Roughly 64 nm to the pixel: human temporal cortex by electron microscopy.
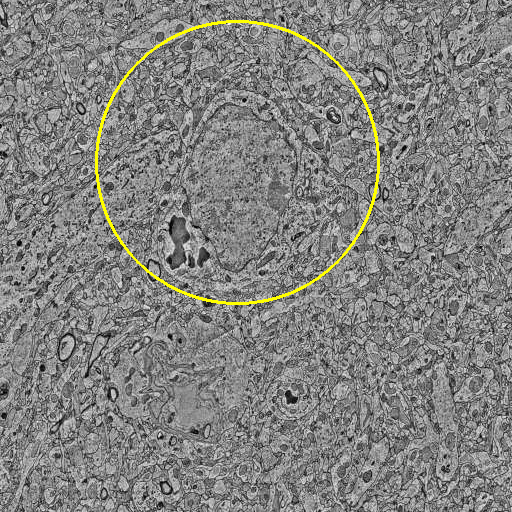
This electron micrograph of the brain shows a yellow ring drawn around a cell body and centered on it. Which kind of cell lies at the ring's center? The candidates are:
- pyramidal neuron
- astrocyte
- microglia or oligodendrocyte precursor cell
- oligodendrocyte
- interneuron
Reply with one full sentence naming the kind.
The cell lying at the ring's center in this micrograph is an interneuron.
